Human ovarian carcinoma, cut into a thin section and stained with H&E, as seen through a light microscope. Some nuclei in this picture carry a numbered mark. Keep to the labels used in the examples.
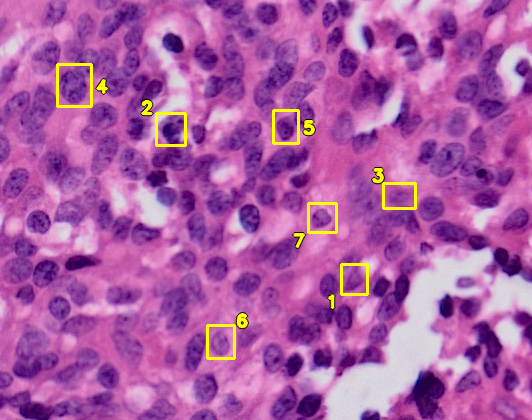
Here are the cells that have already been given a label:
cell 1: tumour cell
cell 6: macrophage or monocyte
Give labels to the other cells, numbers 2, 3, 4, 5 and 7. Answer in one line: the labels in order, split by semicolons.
macrophage or monocyte; tumour cell; tumour cell; macrophage or monocyte; macrophage or monocyte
